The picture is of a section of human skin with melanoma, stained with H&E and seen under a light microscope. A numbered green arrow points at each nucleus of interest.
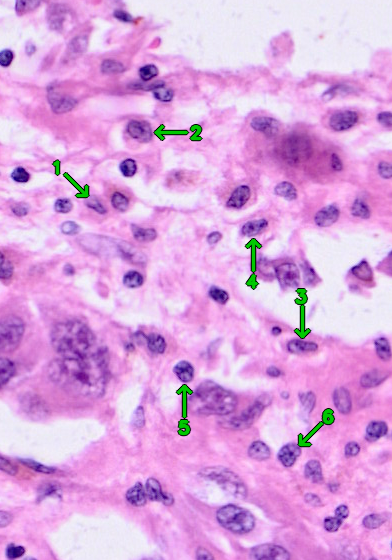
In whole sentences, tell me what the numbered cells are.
Cells 1, 2, 3 and 4 are macrophages or monocytes. Cells 5 and 6 are lymphocytes.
